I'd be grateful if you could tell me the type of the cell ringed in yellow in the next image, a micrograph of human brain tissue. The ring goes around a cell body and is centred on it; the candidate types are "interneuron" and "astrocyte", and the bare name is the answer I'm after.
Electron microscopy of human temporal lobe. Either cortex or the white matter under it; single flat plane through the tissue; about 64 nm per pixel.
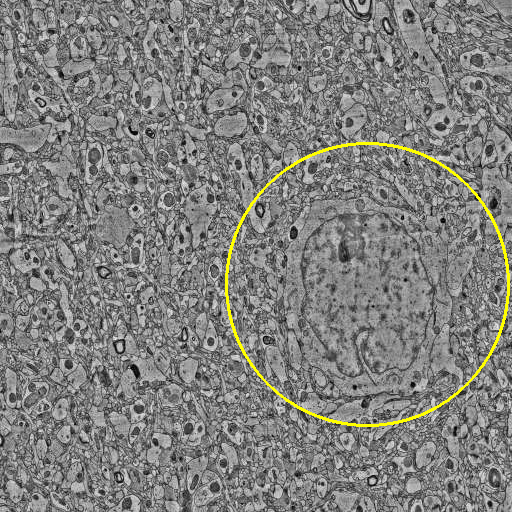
interneuron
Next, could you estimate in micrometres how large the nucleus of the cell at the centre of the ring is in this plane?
In this plane, approximately 11 by 9 micrometers.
